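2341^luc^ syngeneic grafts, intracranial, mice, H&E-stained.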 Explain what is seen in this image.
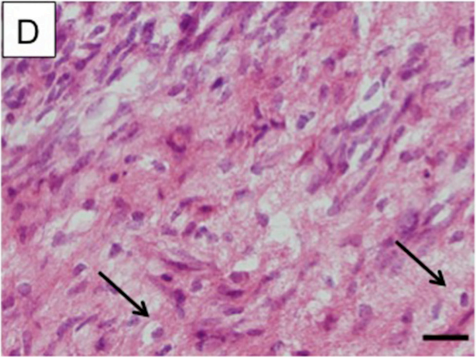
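Glioma tissue in which tumor cells with elongated to oval purple nuclei lie scattered and in streams within a pink fibrillary background. Many cells are spindle-shaped and spread through the fibrillary tissue, consistent with invading tumor cells.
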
